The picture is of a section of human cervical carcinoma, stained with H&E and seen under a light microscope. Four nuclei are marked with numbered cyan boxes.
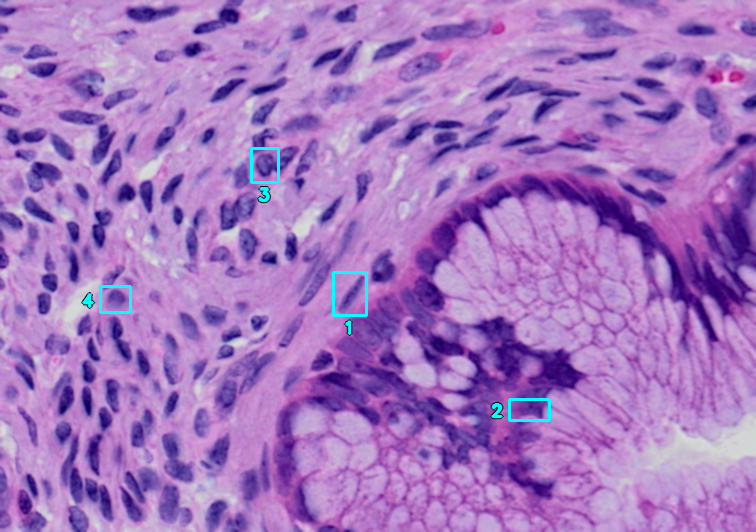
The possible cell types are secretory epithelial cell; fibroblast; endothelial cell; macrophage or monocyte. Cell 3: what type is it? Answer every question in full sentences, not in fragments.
The cell pointed out by number 3 is an endothelial cell.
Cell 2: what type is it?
The cell that goes by number 2 is a secretory epithelial cell.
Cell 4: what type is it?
Among the marked cells, number 4 is a fibroblast.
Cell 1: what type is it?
Cell 1 in the field of view is a fibroblast.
